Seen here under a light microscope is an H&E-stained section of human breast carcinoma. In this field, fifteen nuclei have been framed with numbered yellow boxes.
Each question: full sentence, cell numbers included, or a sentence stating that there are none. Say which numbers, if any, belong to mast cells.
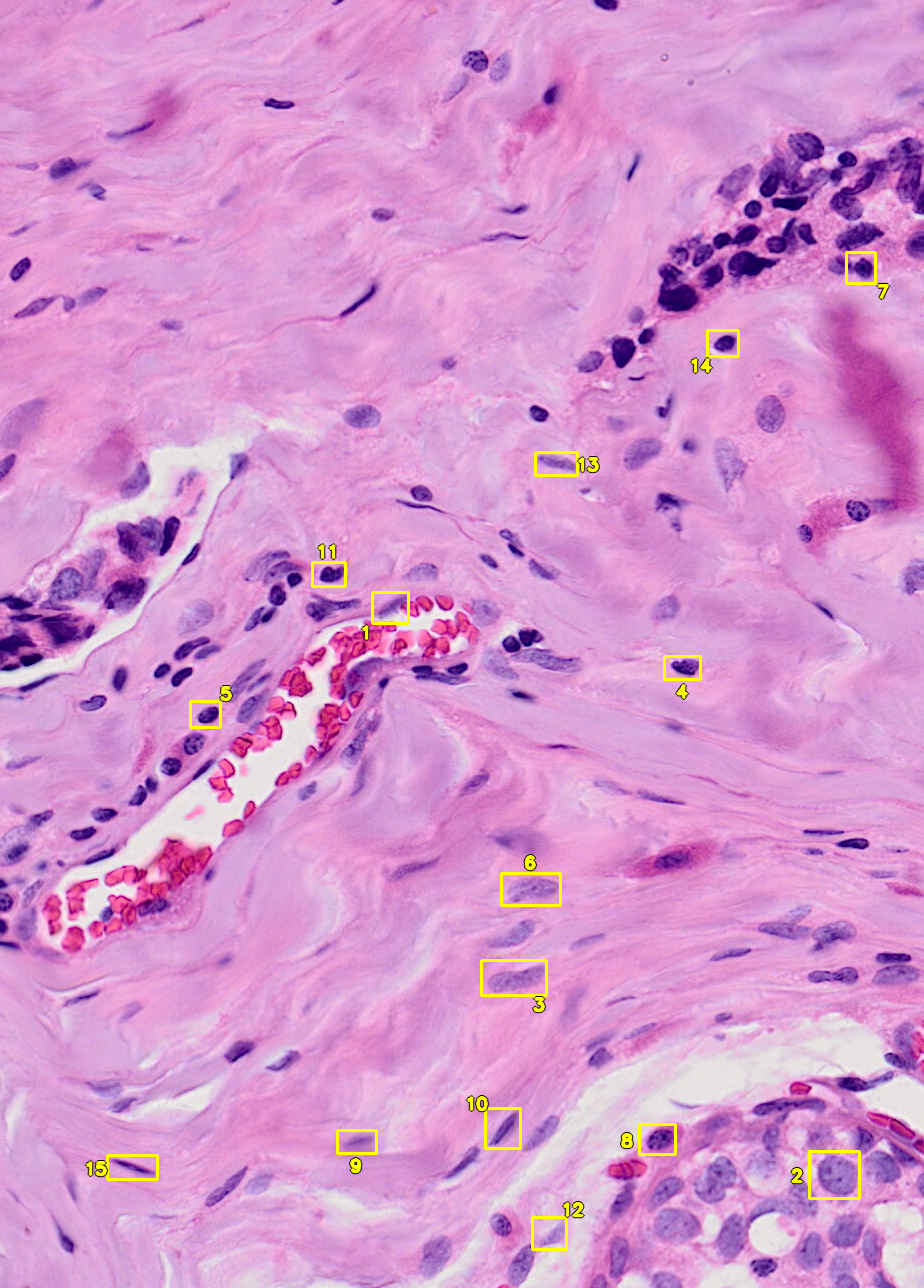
Cell 8, and no other numbered cell, is a mast cell.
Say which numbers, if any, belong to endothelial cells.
The nucleus labelled 1 alone belongs to an endothelial cell; the other marked nuclei do not.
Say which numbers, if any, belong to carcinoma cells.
Cell 2 is a carcinoma cell, and it is the only numbered cell that is.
